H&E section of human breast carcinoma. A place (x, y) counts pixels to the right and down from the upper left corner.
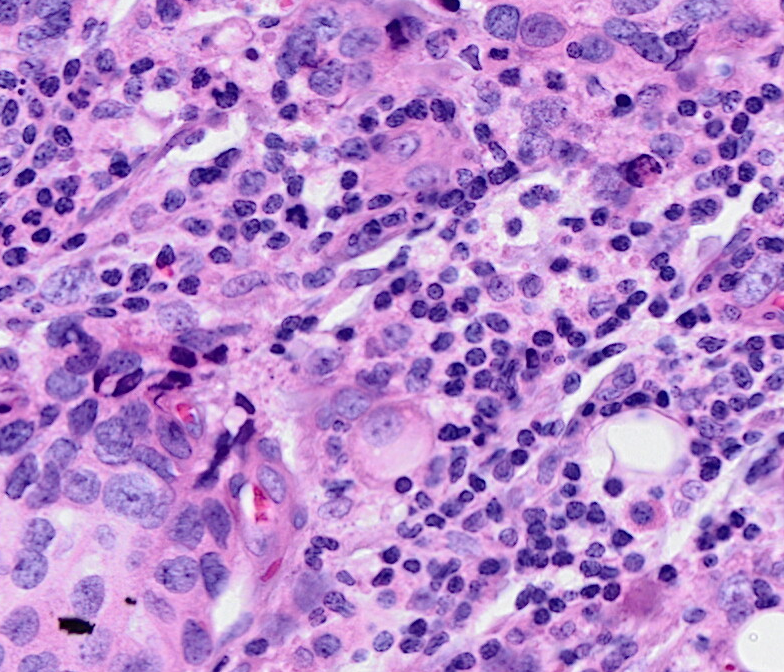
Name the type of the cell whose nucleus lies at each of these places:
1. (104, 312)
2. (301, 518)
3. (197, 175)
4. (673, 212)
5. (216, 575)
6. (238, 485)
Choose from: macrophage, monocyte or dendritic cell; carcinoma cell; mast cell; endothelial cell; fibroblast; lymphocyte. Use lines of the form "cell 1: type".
cell 1: lymphocyte
cell 2: endothelial cell
cell 3: lymphocyte
cell 4: lymphocyte
cell 5: carcinoma cell
cell 6: endothelial cell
